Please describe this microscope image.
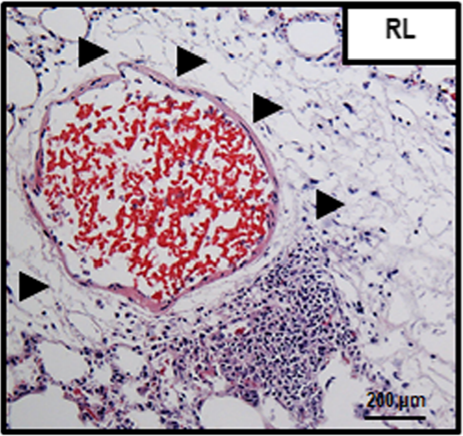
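This is lung parenchyma with a large blood vessel cut in cross-section, its lumen packed with red-stained blood cells. Around the thin pink vessel wall lies a broad, pale, loosely fibrillar cuff with only scattered nuclei, the perivascular edema marked by the arrowheads. Below the vessel sits a dense cluster of small, dark purple nuclei, and alveoli with thin septa border the field.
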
